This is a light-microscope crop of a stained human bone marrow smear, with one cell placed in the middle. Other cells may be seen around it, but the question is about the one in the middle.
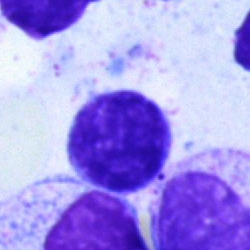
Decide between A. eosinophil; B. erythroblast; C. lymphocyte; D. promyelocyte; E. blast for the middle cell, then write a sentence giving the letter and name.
In the centre of the crop there is a lymphocyte, making option C correct.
